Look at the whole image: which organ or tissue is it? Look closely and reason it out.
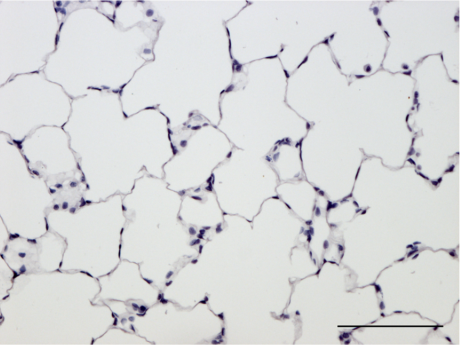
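Large open airspaces are separated by thin septa. Thin walls carry scattered small blue nuclei. That points to this answer: lung tissue.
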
